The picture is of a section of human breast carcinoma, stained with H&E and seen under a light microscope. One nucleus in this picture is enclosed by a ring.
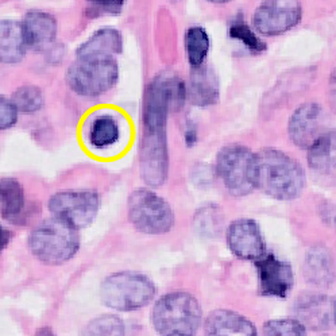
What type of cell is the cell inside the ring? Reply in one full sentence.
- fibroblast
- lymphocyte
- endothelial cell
Within the stained tissue, the cell inside the ring is a lymphocyte.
